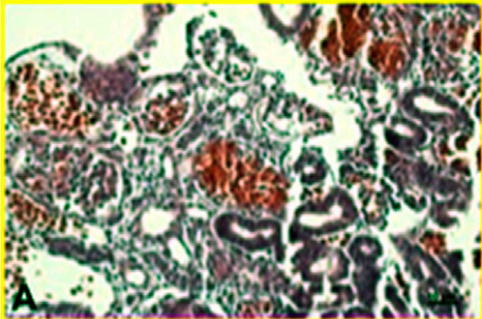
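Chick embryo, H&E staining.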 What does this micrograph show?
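Embryonic tissue in which many small dark-purple tubules with narrow lumens, each lined by a single layer of closely packed cells, lie among loose cellular tissue. Between the tubules are rounded spaces packed with red-orange blood cells, and some clear empty spaces are present.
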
